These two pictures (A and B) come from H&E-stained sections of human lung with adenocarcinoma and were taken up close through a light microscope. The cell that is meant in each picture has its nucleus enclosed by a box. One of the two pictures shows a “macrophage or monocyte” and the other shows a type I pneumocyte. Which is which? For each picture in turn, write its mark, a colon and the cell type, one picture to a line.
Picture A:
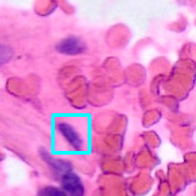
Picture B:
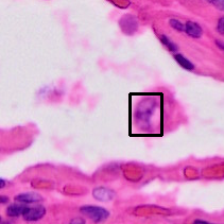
A: type I pneumocyte
B: macrophage or monocyte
